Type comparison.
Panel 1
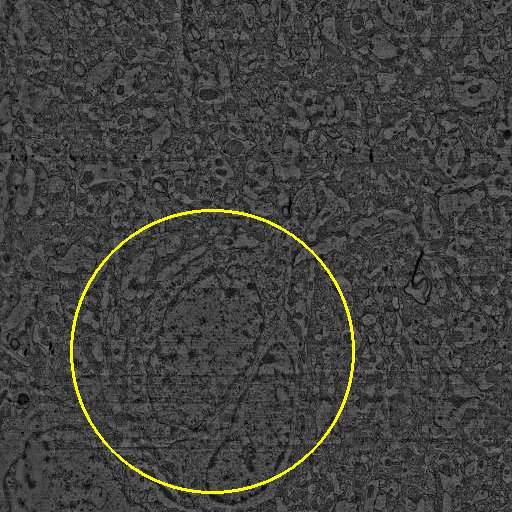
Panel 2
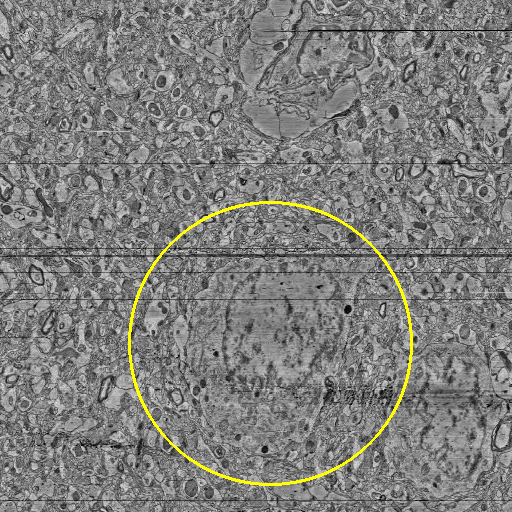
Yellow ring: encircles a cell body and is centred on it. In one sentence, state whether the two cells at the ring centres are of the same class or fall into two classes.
In these panels, the two cells at the ring centres are of the same class.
